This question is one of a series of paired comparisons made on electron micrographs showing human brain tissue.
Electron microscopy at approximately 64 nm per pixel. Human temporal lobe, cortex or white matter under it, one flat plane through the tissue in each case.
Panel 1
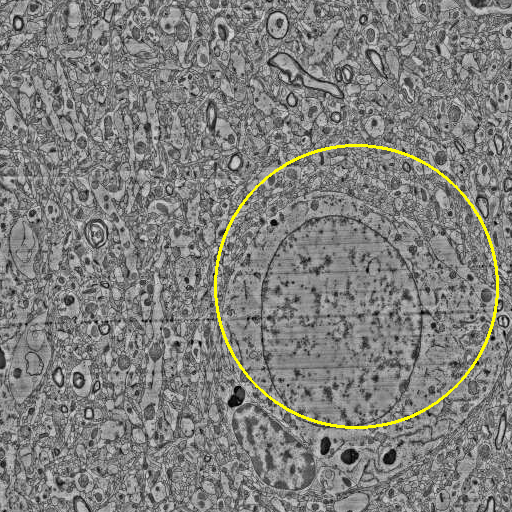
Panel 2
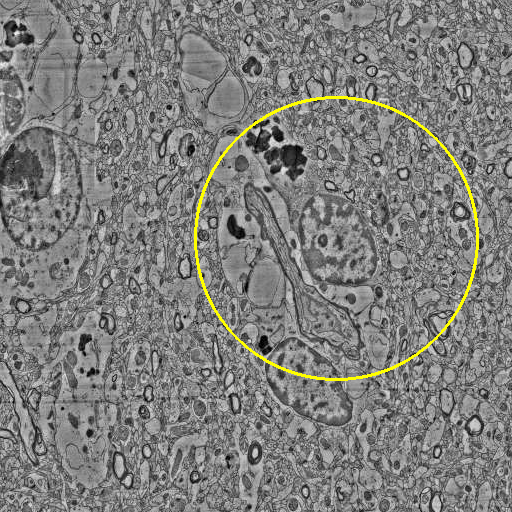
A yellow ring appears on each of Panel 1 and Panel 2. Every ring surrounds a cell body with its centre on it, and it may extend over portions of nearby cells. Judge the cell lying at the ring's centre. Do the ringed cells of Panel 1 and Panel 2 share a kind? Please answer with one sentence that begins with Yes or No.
No, the ring-centre cell in Panel 1 and the one in Panel 2 are of two kinds.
